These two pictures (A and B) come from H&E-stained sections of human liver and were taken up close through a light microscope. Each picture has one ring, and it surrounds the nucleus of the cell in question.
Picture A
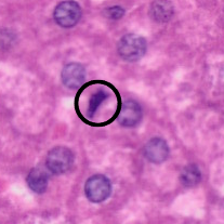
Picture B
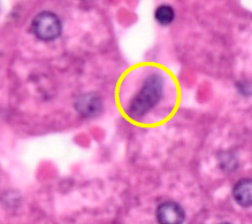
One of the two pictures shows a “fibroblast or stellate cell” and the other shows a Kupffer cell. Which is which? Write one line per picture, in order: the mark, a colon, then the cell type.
A: fibroblast or stellate cell
B: Kupffer cell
